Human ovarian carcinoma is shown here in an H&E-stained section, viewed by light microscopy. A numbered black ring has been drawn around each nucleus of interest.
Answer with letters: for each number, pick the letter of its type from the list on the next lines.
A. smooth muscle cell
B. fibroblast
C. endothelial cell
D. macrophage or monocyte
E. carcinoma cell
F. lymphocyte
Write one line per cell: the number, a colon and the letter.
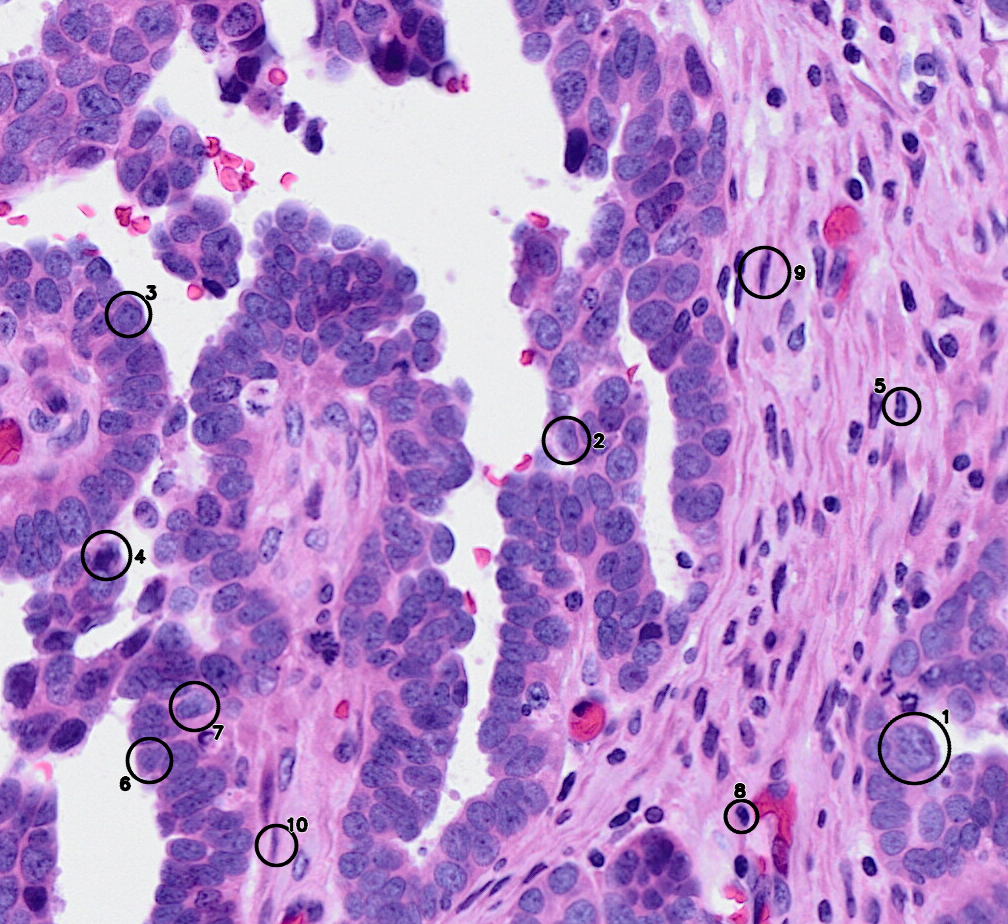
1: E
2: E
3: E
4: E
5: F
6: E
7: E
8: F
9: B
10: B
